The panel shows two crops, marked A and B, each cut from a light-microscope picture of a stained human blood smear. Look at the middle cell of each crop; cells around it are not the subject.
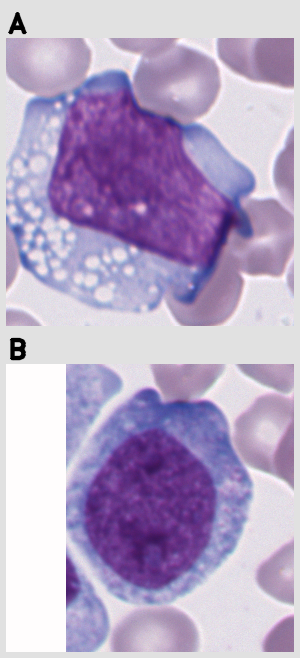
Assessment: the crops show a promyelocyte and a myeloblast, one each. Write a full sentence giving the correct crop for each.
There is a myeloblast in crop A and a promyelocyte in crop B.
